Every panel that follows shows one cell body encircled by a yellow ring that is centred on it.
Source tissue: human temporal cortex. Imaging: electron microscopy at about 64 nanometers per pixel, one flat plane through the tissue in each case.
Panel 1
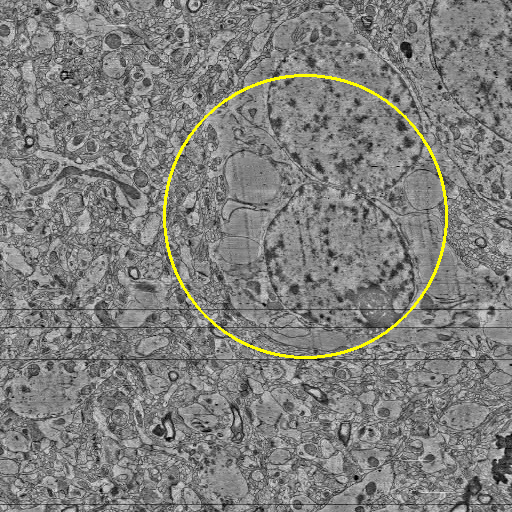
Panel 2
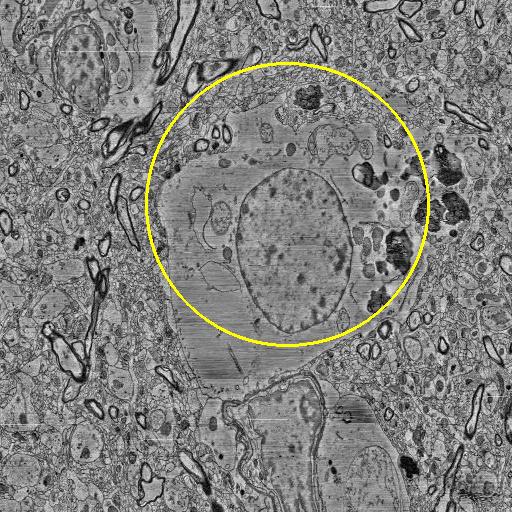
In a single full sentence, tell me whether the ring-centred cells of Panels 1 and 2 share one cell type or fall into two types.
In Panel 1 and Panel 2, the cells at the ring centres share one cell type.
